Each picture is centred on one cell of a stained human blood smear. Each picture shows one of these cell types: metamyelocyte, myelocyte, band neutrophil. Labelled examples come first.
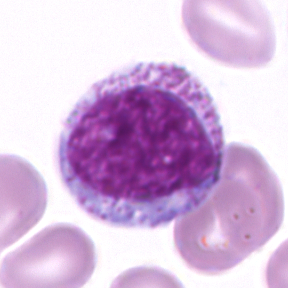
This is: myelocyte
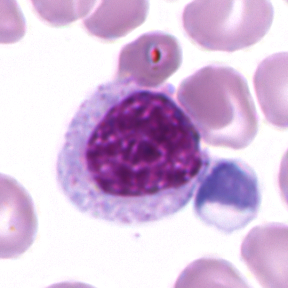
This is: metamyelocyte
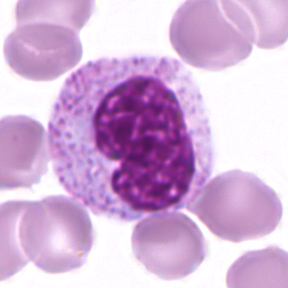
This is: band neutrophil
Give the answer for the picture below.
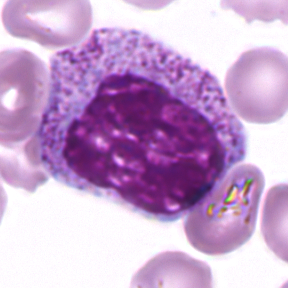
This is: myelocyte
